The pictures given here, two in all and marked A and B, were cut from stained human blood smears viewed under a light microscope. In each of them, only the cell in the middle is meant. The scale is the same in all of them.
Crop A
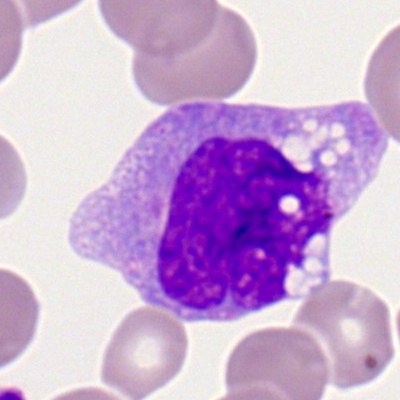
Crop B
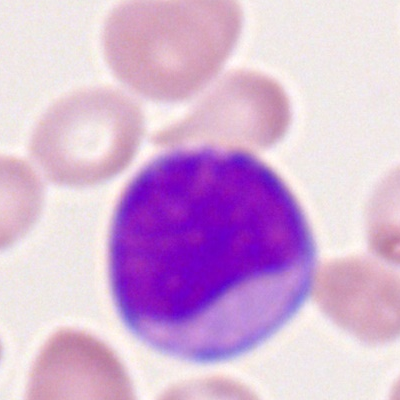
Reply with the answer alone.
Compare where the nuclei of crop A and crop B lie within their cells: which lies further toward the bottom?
A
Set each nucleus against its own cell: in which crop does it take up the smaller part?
A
